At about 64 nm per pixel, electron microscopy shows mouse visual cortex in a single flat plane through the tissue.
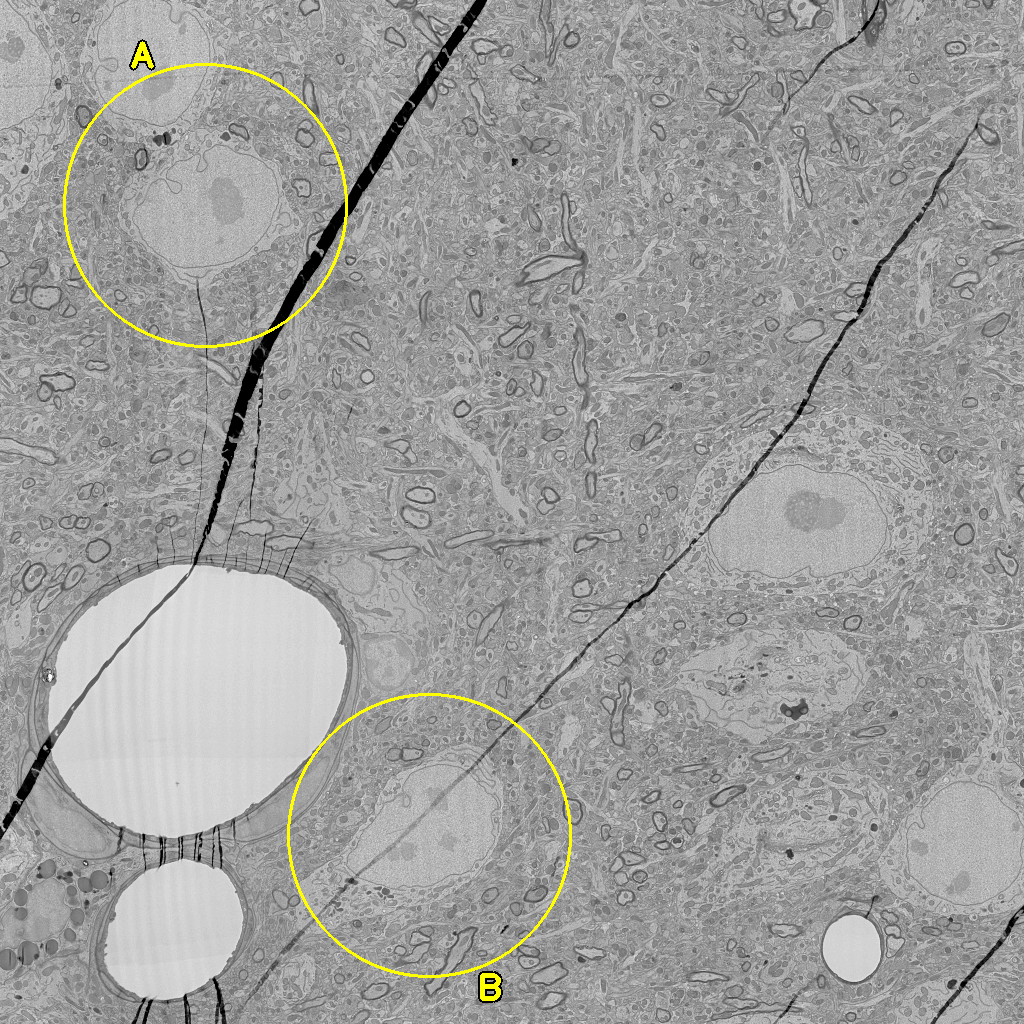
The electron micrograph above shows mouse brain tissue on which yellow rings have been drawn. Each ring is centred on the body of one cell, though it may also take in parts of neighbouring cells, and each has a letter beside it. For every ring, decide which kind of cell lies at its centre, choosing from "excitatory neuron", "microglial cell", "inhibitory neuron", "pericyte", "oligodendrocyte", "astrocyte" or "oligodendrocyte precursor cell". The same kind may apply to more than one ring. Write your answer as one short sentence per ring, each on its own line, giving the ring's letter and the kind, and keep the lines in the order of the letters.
Ring A is centred on an excitatory neuron.
Ring B is centred on an inhibitory neuron.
